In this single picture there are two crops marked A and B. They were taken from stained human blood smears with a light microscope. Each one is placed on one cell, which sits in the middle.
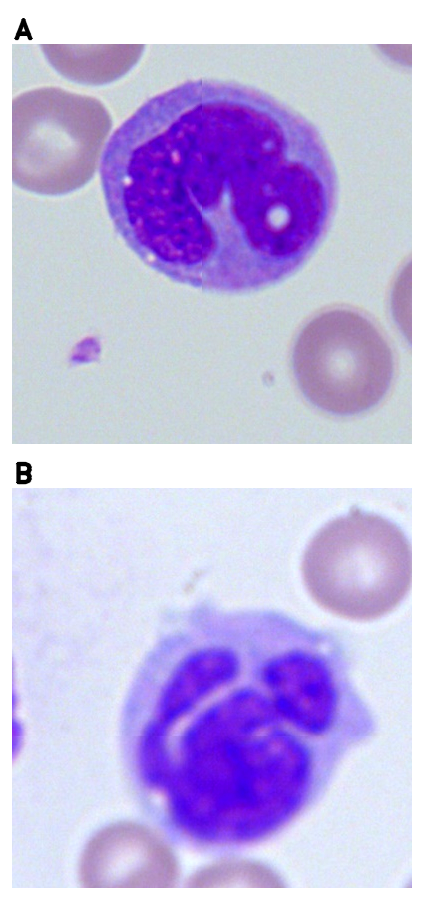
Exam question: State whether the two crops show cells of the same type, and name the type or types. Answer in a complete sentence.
Yes, as shown in both crops, the central cells are monocytes.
